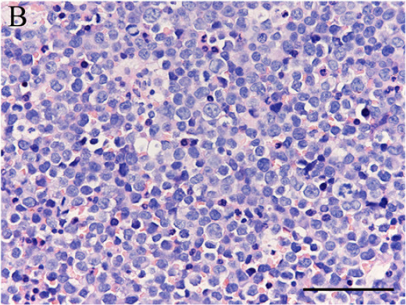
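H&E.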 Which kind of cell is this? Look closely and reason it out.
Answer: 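Sheets of large cells with round, enlarged nuclei. Many nuclei show distinct nucleoli. Some cells have eccentric nuclei with a rim of cytoplasm. That points to this answer: large-sized atypical cells.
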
